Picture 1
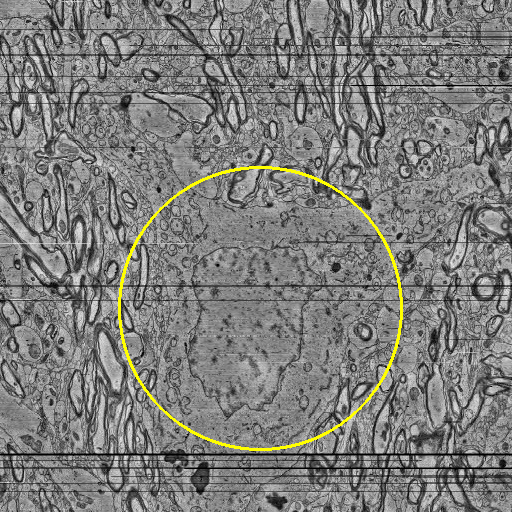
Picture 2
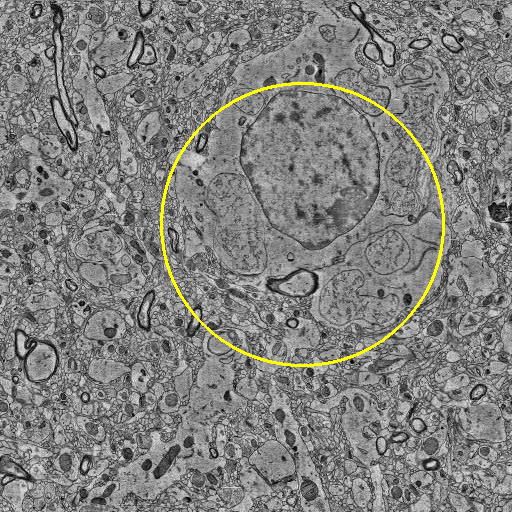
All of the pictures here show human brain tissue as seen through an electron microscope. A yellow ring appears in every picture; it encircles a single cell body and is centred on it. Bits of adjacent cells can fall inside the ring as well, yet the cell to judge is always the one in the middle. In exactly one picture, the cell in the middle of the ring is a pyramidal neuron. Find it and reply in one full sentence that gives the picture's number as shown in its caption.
Of all the pictures, picture 1 has the right cell at the centre of its ring.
